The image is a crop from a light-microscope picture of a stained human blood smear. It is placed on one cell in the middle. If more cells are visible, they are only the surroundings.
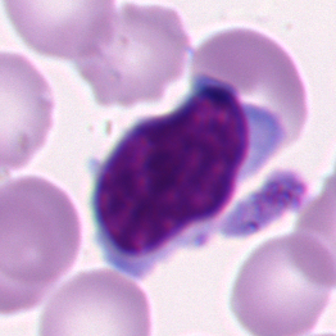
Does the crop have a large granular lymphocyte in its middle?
no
